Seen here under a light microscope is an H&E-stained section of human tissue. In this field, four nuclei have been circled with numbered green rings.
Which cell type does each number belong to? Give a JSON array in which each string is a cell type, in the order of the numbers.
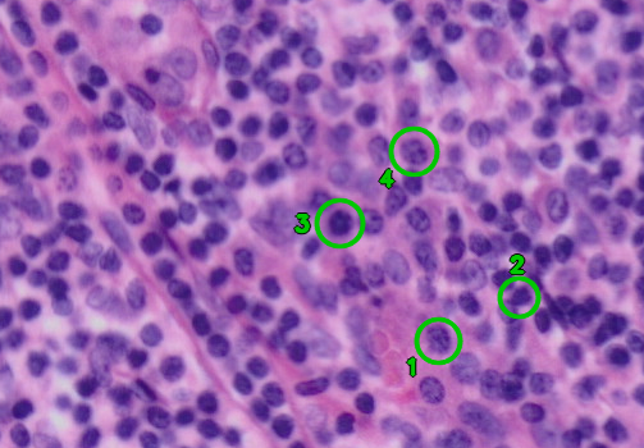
["plasma cell", "small lymphocyte", "plasma cell", "plasma cell"]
